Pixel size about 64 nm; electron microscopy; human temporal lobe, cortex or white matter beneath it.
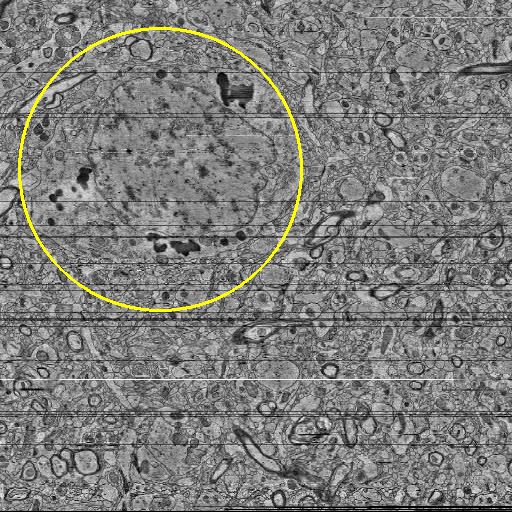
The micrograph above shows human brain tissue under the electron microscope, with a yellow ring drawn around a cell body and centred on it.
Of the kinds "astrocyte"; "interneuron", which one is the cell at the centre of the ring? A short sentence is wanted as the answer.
The one at the centre of the ring is an interneuron.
